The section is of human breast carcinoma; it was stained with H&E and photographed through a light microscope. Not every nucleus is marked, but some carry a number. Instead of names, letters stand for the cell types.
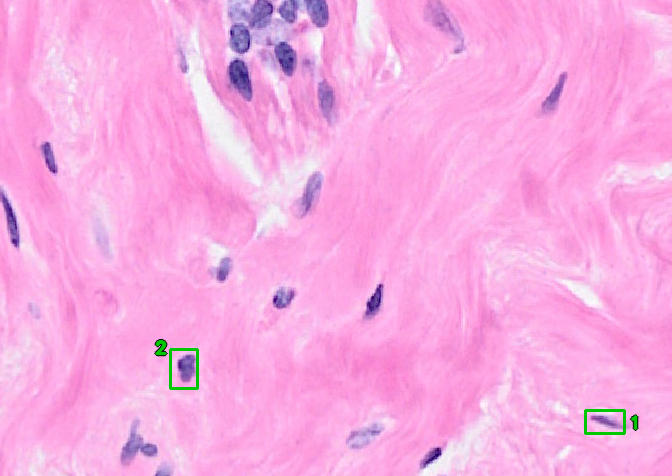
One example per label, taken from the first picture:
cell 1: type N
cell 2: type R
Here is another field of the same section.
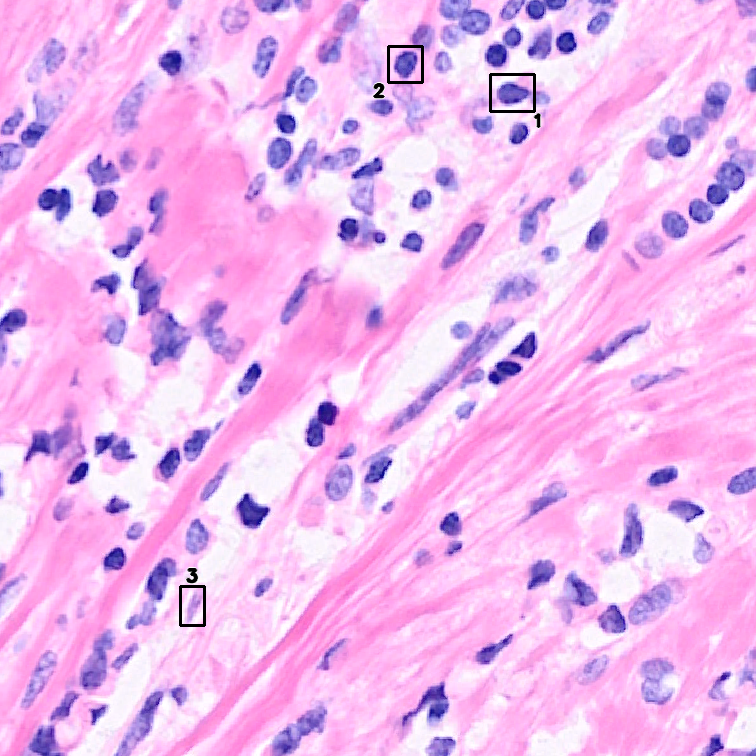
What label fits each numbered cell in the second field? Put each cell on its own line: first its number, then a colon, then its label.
1: type R
2: type R
3: type N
